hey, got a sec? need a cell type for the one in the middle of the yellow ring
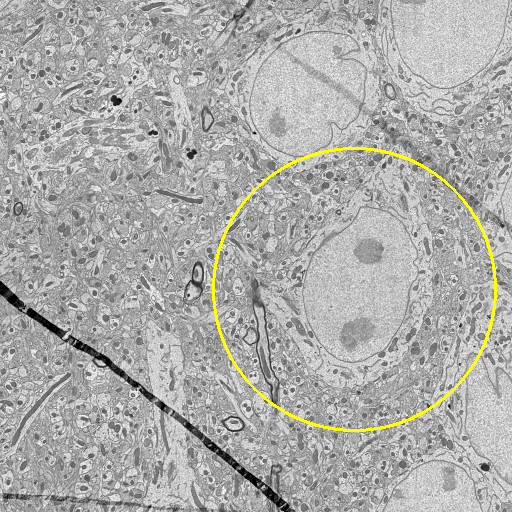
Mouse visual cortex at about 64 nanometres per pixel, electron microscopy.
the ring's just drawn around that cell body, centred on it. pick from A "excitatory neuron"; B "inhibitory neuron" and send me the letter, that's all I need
A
